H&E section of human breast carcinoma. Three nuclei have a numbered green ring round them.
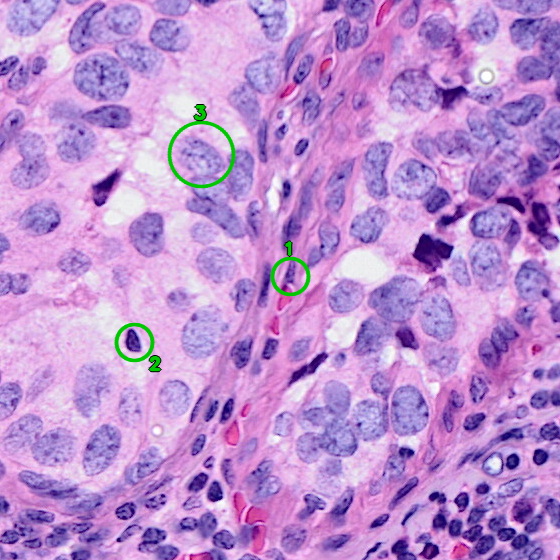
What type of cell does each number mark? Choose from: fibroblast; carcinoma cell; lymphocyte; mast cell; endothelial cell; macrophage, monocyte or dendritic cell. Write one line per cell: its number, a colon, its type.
1: endothelial cell
2: lymphocyte
3: carcinoma cell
